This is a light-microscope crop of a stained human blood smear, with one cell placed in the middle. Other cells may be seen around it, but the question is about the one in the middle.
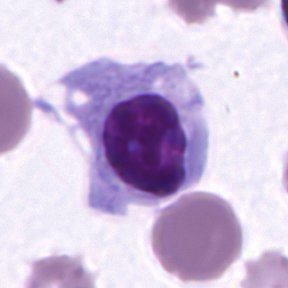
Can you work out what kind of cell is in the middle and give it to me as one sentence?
In this smear crop, the middle cell is a plasma cell.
